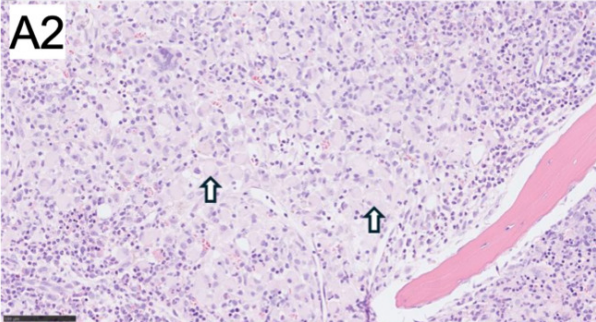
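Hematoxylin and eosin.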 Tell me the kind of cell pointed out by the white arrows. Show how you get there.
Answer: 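Histiocytes. The arrows point to large cells with abundant pale cytoplasm. These cells lie in sheets, with small dark round cells scattered between them.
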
